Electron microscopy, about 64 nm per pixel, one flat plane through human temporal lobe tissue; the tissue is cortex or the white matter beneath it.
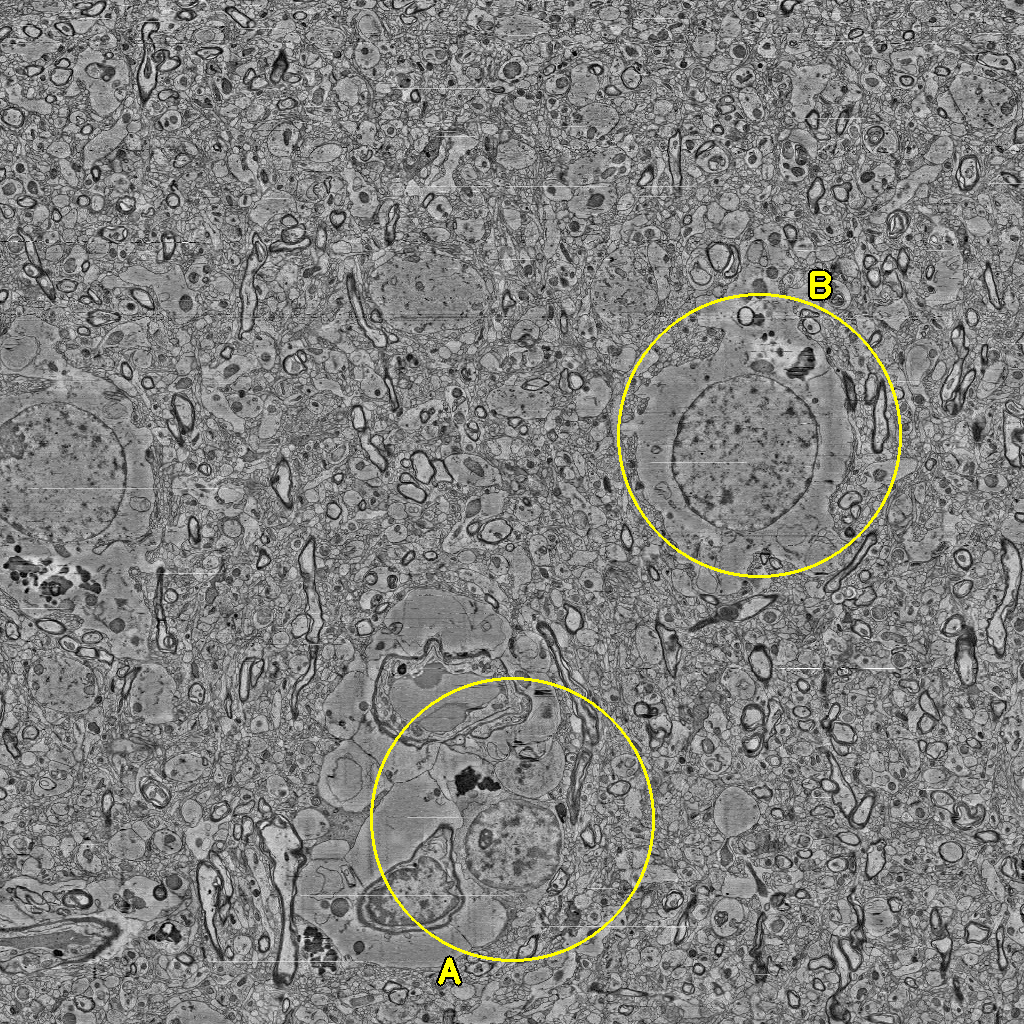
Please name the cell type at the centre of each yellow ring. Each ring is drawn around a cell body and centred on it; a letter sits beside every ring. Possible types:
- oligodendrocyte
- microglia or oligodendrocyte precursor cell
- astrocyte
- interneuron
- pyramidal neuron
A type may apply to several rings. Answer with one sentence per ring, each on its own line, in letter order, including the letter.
Ring A is centred on the cell body of an oligodendrocyte.
Ring B is centred on the cell body of an astrocyte.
